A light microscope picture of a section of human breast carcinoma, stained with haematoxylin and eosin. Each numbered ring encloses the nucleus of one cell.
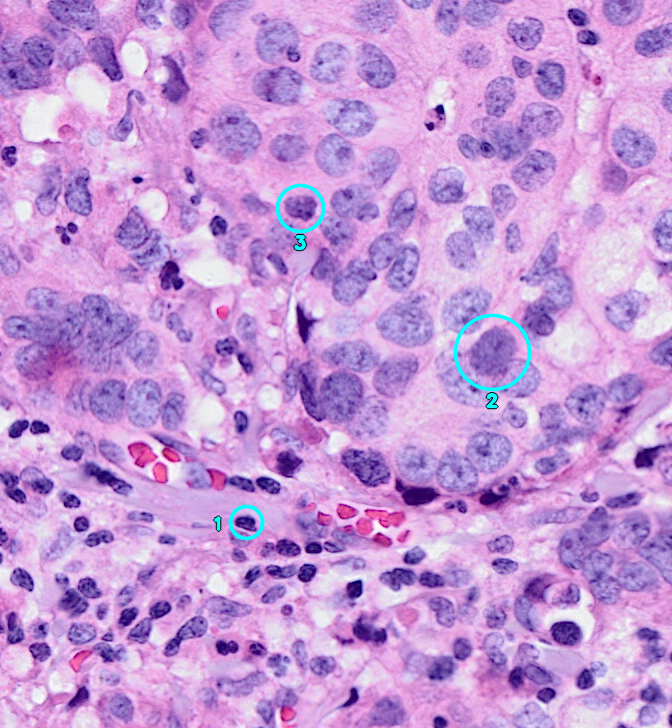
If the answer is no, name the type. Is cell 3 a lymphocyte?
No, it is a carcinoma cell.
